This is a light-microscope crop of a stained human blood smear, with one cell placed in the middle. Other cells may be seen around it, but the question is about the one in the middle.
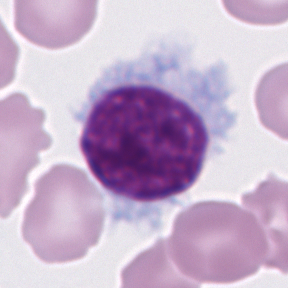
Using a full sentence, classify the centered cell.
The middle of this crop is occupied by a hairy cell.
